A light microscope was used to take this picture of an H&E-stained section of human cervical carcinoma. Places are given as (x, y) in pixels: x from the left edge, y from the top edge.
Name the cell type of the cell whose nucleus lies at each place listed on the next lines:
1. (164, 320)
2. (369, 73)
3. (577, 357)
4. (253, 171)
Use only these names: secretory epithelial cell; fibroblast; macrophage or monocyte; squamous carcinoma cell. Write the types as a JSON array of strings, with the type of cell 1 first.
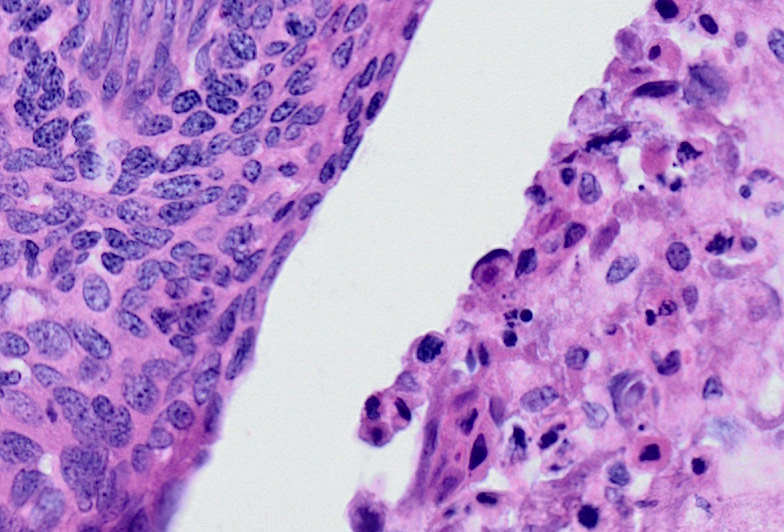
["squamous carcinoma cell", "squamous carcinoma cell", "macrophage or monocyte", "squamous carcinoma cell"]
